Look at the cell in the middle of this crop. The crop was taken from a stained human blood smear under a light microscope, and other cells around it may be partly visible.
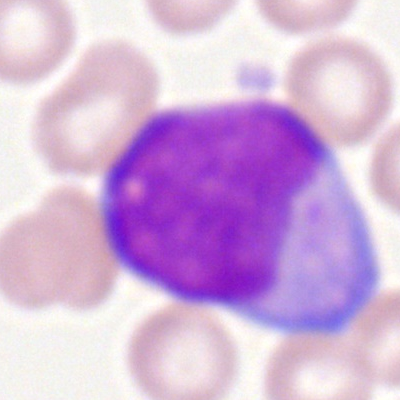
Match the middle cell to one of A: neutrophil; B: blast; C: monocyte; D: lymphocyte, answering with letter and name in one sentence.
The middle of the crop contains a blast, so option B is right.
